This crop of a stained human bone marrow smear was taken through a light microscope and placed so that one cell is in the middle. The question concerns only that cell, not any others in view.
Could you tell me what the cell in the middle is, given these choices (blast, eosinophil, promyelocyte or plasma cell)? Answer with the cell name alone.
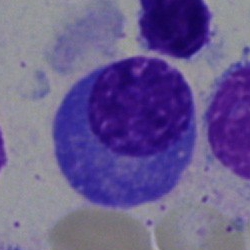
plasma cell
